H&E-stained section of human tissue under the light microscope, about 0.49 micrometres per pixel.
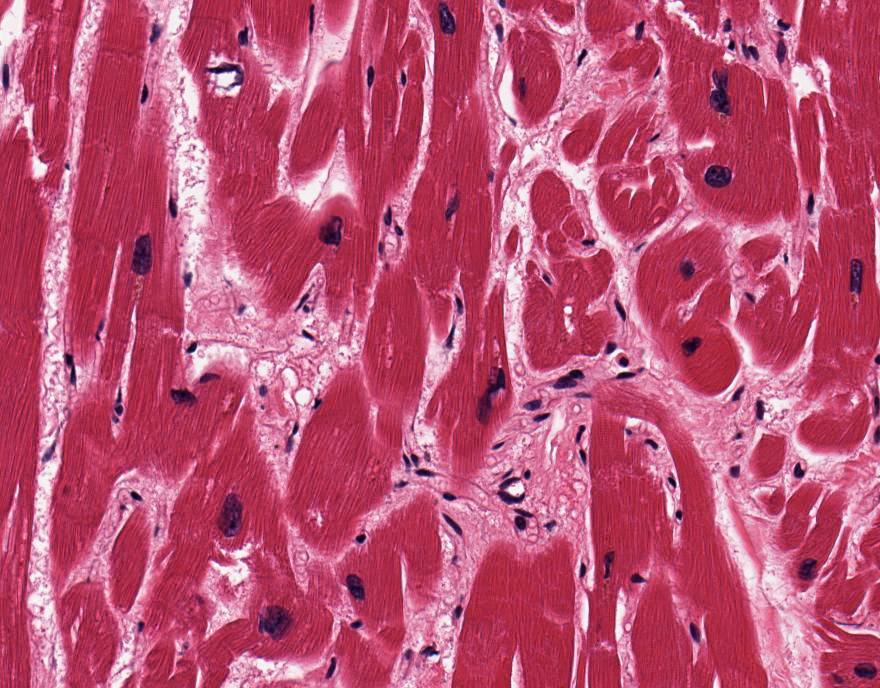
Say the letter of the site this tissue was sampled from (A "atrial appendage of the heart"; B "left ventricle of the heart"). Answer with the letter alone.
B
